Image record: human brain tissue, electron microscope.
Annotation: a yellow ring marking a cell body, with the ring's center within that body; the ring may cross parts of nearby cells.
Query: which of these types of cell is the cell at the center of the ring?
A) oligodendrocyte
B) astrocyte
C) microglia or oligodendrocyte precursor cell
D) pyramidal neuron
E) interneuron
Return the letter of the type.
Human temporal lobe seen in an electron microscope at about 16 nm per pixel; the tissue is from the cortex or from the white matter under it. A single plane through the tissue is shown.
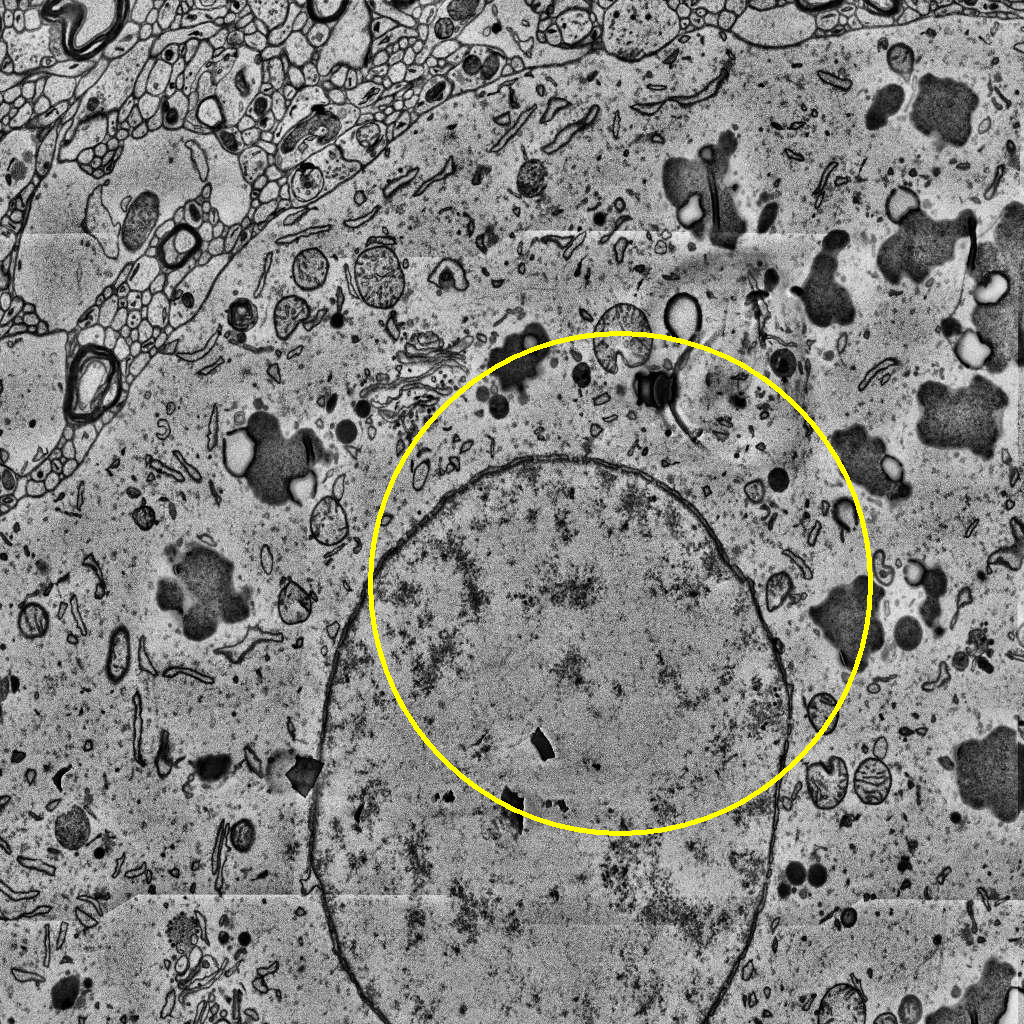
D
